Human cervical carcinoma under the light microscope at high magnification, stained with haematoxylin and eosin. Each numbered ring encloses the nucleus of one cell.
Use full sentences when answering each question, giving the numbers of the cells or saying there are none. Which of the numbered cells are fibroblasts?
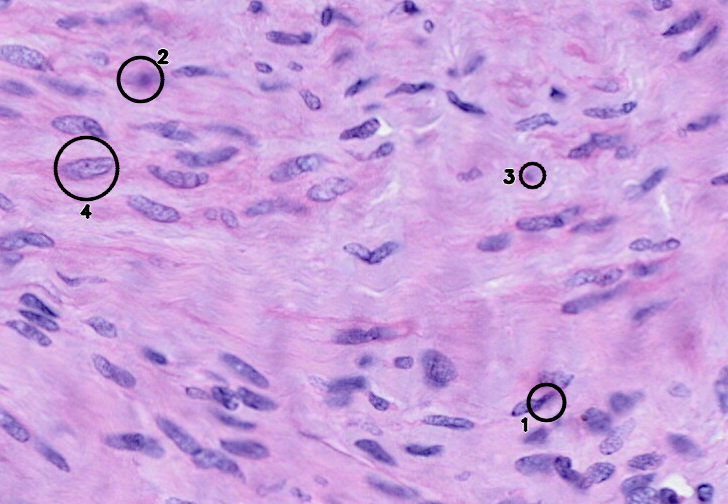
Only number 1 is a fibroblast; none of the others are.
